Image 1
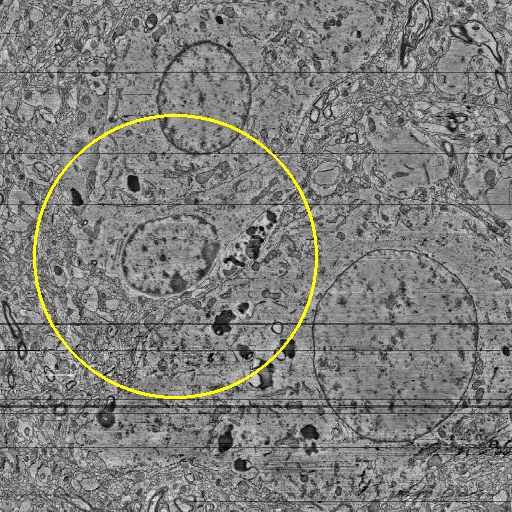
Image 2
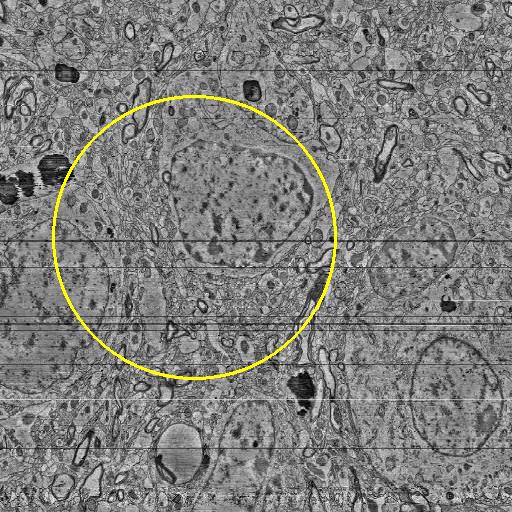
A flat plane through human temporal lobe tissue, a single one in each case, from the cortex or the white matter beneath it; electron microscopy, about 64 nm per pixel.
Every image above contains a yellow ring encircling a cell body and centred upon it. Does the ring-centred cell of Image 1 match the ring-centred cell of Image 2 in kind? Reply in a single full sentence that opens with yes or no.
Yes, the cell at the ring's centre in Image 1 is the same kind as that in Image 2.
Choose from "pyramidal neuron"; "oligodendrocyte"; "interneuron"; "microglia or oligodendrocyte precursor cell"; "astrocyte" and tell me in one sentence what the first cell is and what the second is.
Each one of the two ringed cells is a microglial cell or oligodendrocyte precursor cell.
